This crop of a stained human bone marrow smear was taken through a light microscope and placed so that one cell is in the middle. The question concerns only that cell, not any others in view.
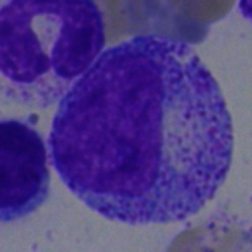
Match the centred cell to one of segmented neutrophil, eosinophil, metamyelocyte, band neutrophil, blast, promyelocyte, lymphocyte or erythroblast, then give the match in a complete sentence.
Standing at the centre of this crop is a promyelocyte.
